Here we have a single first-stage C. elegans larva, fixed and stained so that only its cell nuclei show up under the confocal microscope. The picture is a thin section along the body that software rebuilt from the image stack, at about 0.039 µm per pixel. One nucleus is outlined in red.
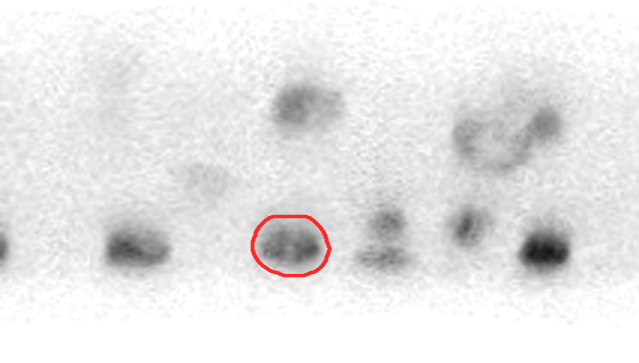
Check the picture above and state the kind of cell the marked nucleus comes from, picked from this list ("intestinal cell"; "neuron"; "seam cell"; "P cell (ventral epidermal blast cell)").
seam cell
